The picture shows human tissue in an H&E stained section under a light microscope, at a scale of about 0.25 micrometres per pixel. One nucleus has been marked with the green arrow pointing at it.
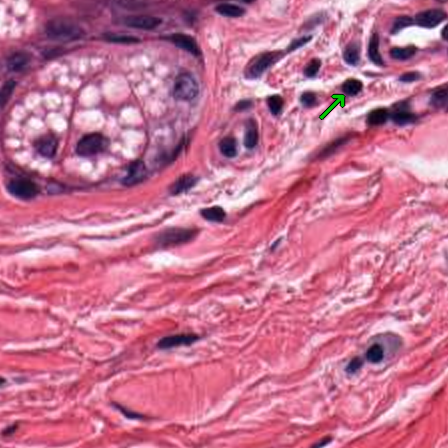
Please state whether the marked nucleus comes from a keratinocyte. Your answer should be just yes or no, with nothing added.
no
